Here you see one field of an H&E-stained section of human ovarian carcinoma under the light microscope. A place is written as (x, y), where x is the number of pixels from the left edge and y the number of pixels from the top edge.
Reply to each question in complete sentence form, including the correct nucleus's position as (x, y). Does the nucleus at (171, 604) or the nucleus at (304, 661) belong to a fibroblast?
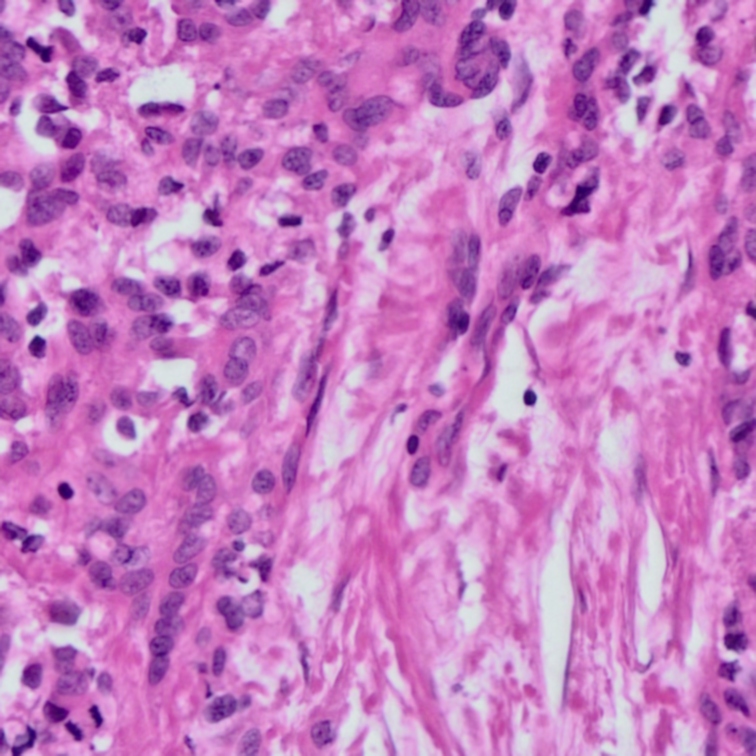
The nucleus at (304, 661), rather than the other one, belongs to a fibroblast.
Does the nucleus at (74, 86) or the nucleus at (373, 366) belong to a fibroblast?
That would be the nucleus at (373, 366); it belongs to a fibroblast.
